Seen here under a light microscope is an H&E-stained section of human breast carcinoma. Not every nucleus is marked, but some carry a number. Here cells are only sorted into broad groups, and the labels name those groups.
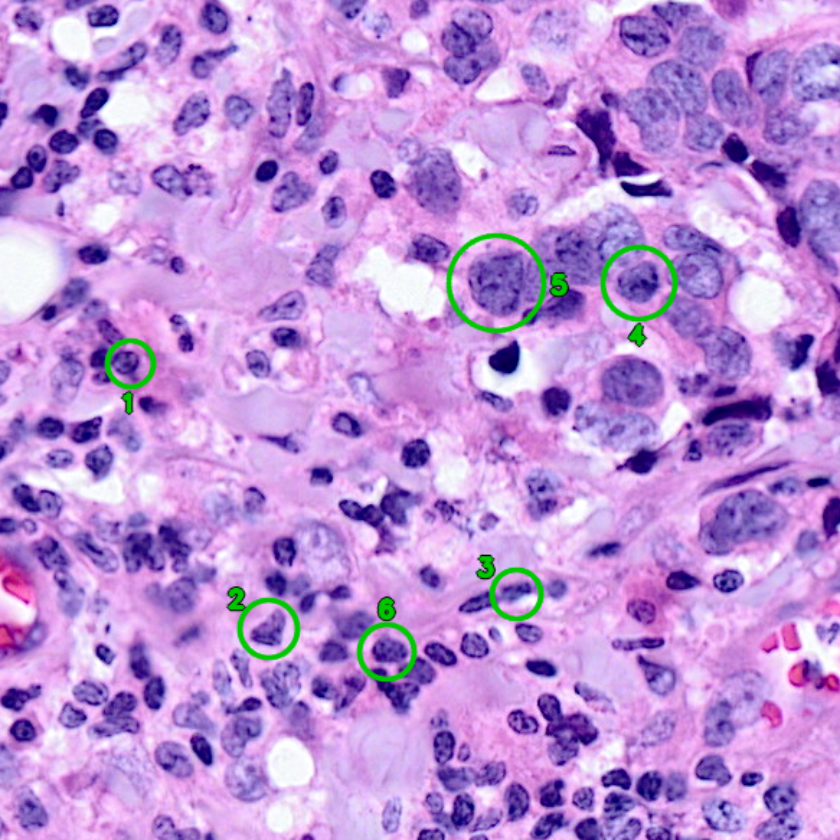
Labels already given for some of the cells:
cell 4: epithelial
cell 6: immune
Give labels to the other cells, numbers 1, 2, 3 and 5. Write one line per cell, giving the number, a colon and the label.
1: immune
2: immune
3: immune
5: epithelial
